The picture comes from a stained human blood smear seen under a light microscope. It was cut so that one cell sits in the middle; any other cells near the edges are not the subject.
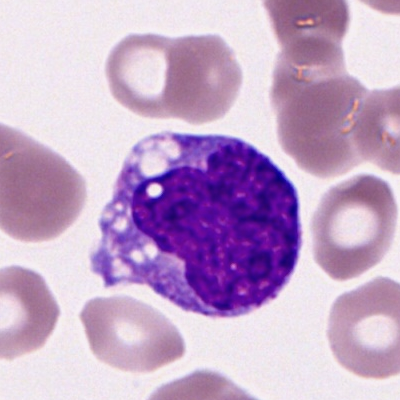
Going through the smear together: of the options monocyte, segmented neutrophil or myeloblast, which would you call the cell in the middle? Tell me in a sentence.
The centered cell in this crop is a monocyte.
